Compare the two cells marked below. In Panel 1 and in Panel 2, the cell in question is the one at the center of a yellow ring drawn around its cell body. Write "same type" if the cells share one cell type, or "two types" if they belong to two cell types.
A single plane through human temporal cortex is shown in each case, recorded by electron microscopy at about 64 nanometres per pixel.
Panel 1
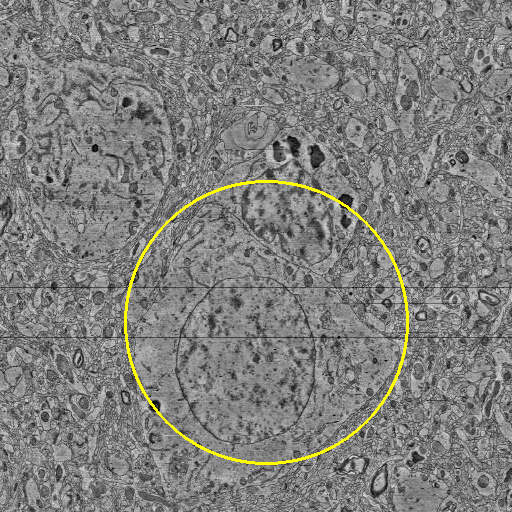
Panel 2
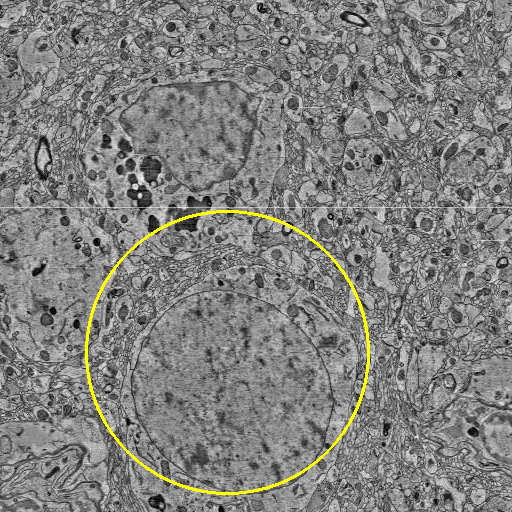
same type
